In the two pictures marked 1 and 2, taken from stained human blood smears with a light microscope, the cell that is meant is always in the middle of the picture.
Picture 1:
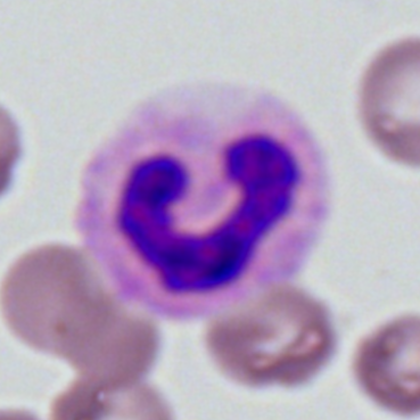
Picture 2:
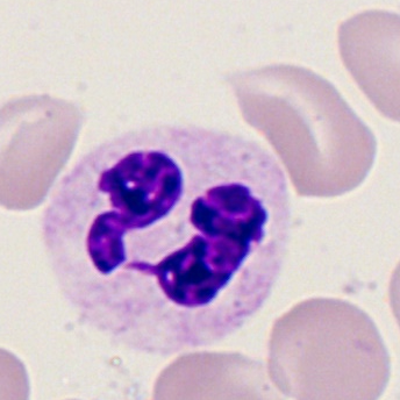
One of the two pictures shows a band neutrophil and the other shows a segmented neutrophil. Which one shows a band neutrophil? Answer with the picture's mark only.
1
